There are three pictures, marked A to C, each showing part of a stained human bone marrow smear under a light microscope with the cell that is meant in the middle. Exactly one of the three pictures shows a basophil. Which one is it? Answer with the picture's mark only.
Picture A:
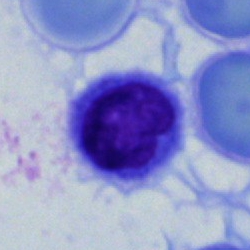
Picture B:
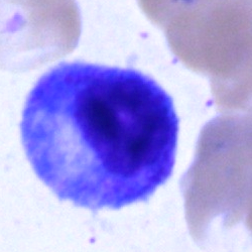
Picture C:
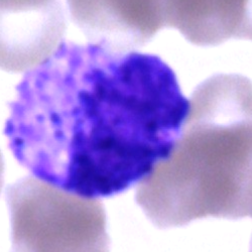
C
